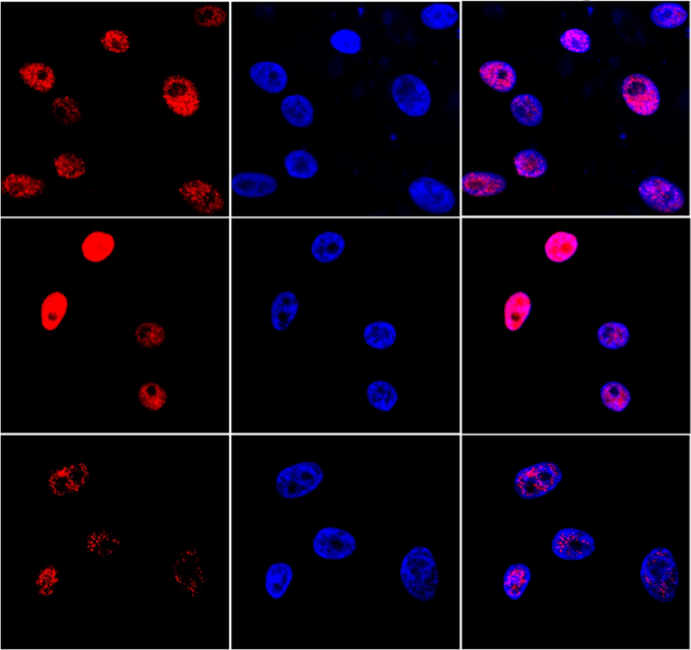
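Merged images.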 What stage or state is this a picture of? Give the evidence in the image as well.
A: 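No condensed chromosome masses are present.
Interphase cells.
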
